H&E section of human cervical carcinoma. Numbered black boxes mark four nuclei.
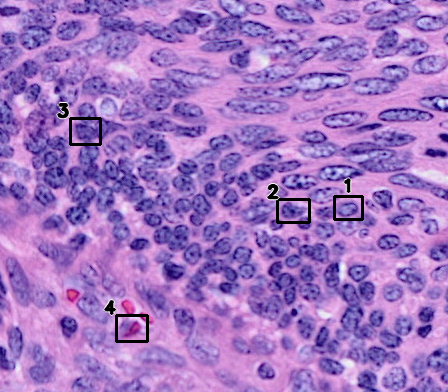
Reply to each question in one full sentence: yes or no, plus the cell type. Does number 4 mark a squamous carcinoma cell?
No, it's not a squamous carcinoma cell at number 4; that cell is an endothelial cell.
